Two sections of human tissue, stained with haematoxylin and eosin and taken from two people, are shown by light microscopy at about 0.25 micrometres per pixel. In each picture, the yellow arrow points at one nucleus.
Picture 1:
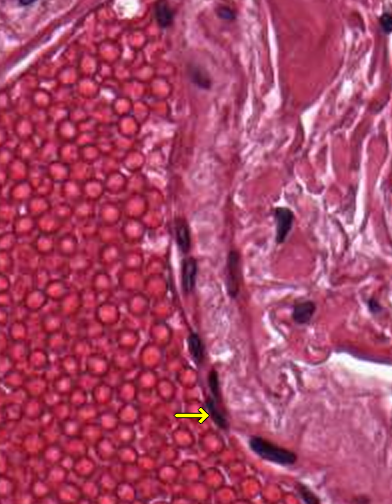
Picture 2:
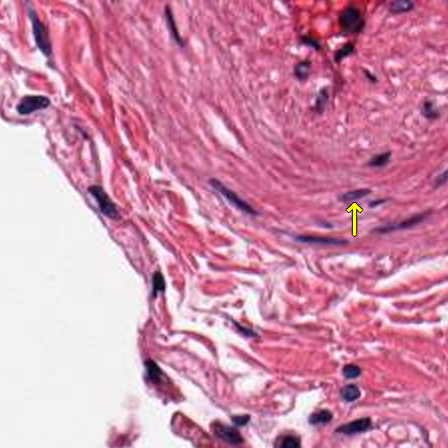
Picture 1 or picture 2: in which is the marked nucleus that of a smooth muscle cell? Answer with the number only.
2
